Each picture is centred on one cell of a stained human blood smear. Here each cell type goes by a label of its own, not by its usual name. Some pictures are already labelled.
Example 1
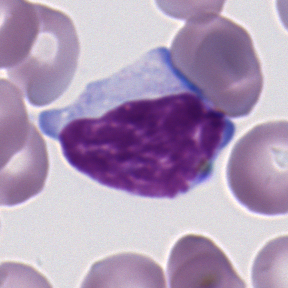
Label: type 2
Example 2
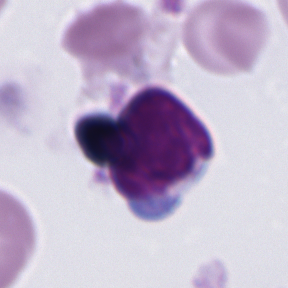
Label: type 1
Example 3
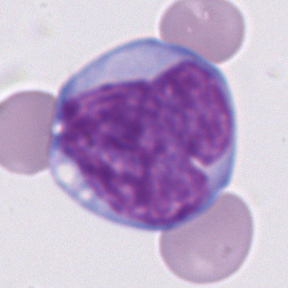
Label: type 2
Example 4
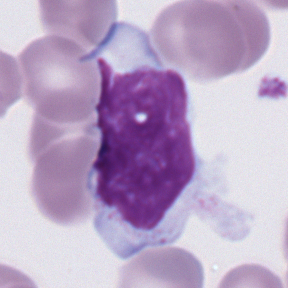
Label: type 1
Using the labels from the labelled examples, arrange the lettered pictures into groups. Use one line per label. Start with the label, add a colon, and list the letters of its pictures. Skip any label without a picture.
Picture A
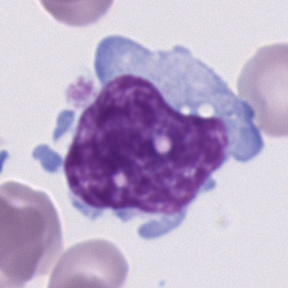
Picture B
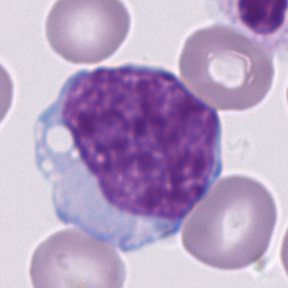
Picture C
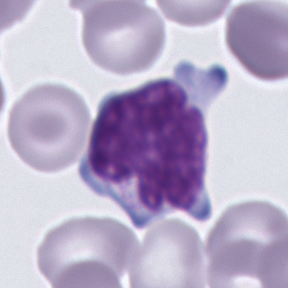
type 2: A, B
type 1: C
